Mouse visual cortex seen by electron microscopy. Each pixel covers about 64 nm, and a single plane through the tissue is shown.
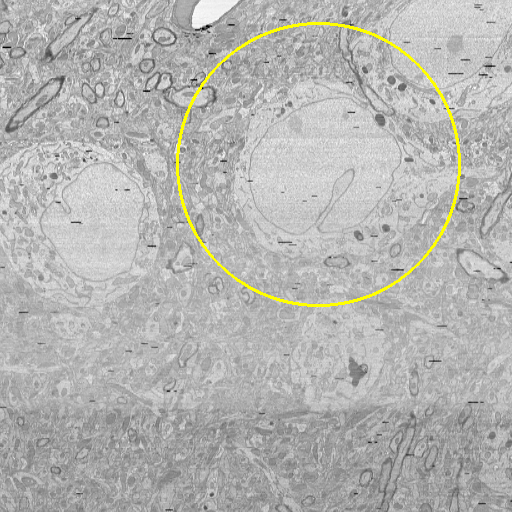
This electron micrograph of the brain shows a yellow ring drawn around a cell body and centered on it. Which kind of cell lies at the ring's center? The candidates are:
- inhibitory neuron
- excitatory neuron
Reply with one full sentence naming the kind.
The cell lying at the ring's center in this micrograph is an excitatory neuron.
